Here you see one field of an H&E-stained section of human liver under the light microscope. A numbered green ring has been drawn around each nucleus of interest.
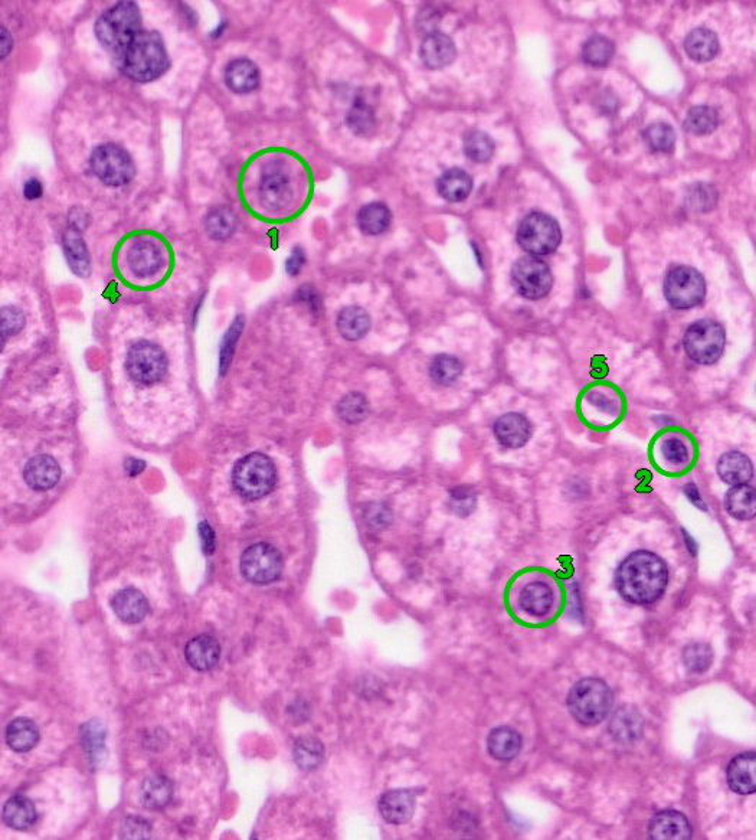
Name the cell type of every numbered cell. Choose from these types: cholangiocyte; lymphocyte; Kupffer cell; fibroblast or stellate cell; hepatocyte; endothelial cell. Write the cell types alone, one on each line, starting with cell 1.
hepatocyte
lymphocyte
hepatocyte
hepatocyte
Kupffer cell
